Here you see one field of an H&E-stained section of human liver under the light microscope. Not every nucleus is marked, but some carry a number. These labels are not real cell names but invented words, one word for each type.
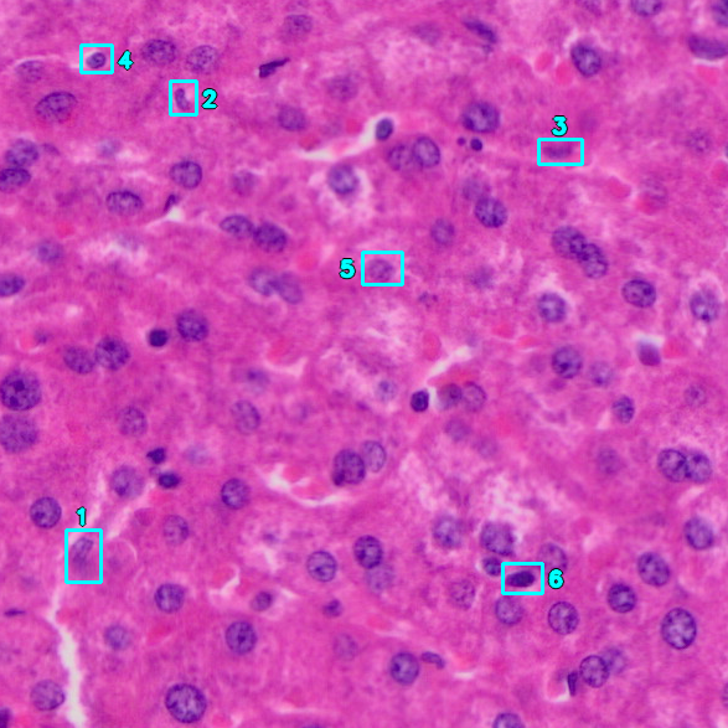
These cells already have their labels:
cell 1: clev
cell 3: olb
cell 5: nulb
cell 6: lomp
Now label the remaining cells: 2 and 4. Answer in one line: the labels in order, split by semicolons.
olb; lomp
